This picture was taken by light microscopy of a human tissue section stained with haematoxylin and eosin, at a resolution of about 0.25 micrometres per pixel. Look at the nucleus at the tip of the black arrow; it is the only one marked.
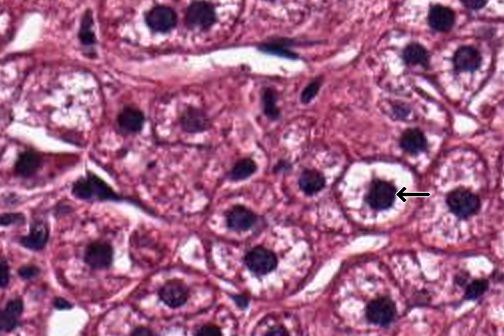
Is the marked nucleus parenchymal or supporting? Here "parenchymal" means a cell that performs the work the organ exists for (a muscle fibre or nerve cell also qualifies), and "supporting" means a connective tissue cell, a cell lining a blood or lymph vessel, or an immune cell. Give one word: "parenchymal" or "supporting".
parenchymal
